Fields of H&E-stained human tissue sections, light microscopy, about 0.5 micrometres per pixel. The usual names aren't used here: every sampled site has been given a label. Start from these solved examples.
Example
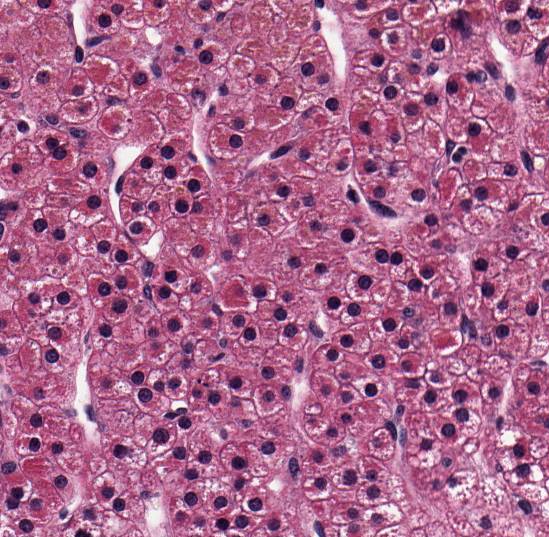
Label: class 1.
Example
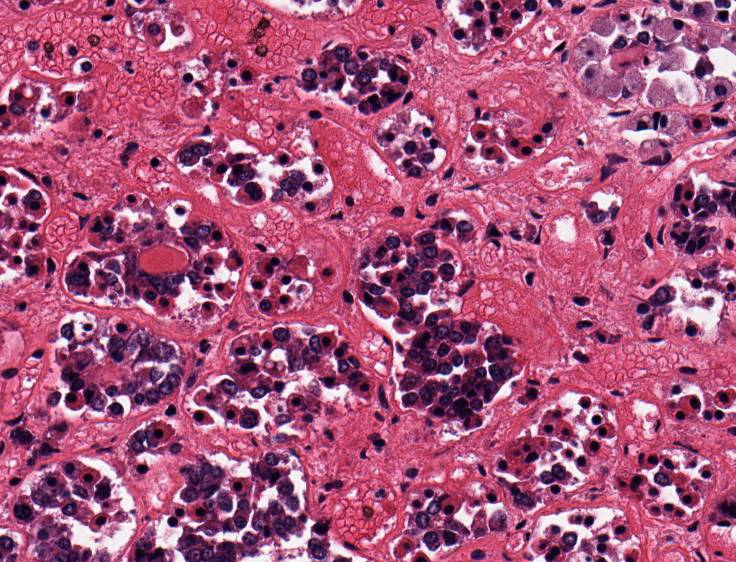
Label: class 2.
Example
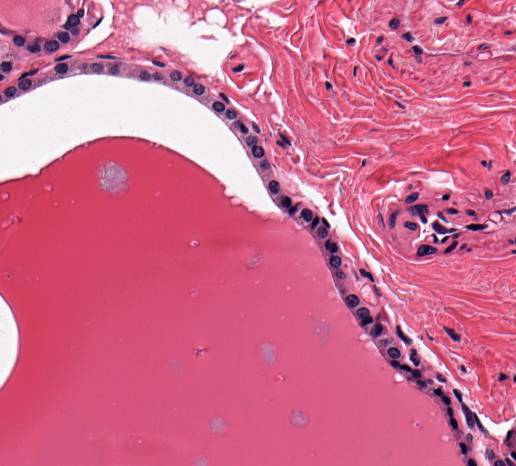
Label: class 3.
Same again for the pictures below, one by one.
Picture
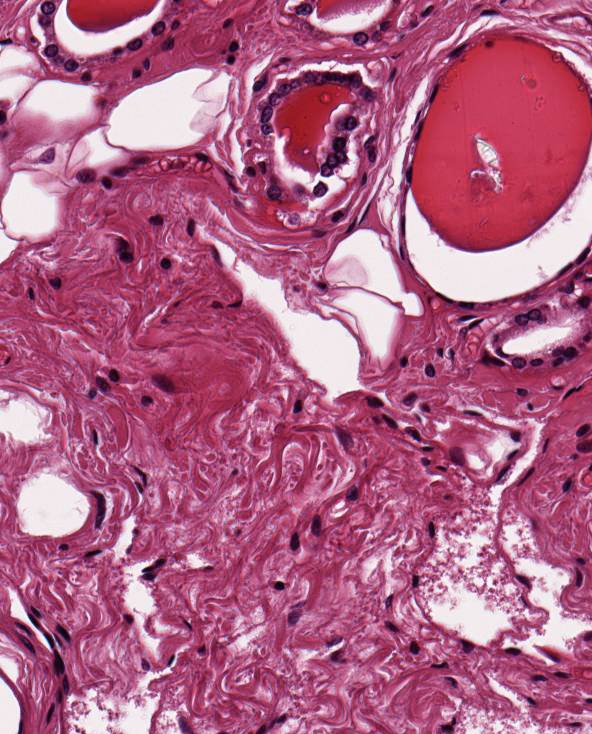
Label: class 3.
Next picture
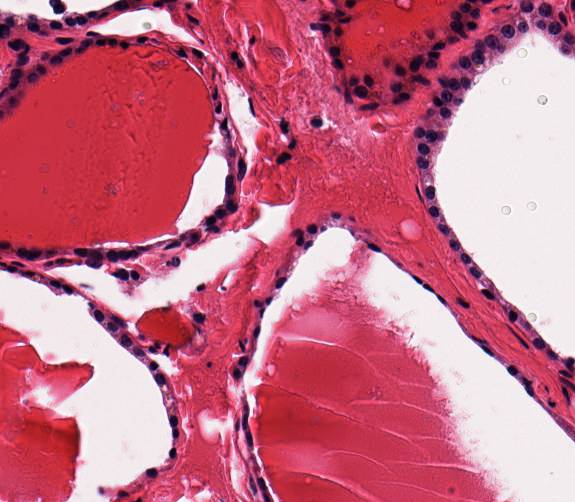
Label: class 3.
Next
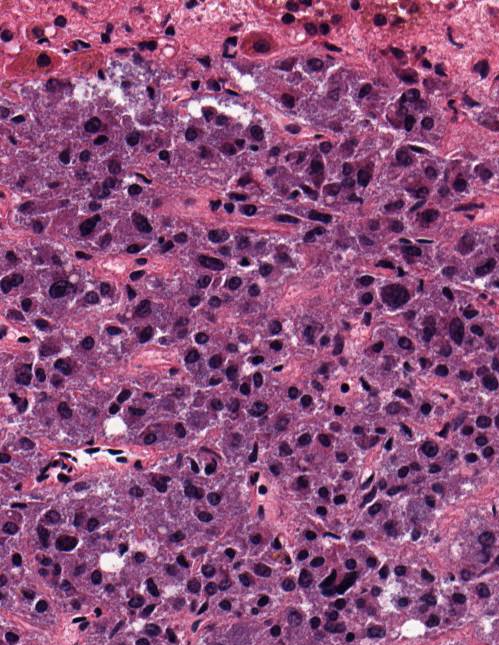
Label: class 1.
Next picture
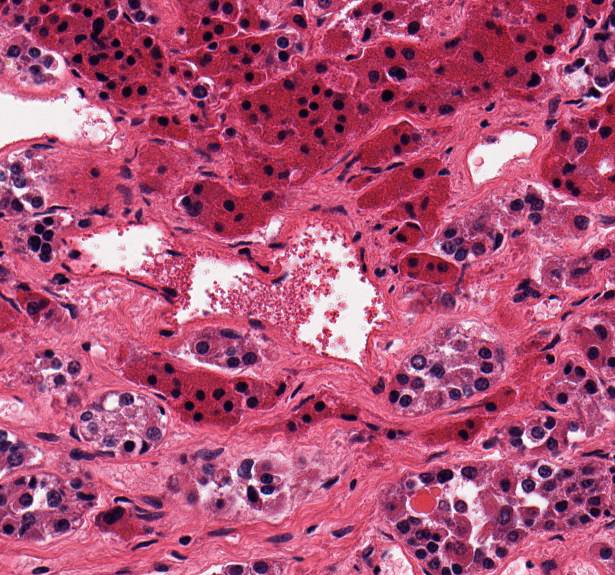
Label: class 2.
